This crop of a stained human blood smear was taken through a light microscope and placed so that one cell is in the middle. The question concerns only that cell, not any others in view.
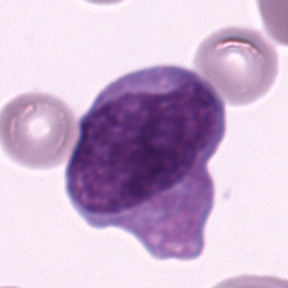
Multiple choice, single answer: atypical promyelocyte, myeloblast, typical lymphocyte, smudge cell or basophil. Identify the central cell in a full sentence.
The identification for the central cell is an atypical promyelocyte.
